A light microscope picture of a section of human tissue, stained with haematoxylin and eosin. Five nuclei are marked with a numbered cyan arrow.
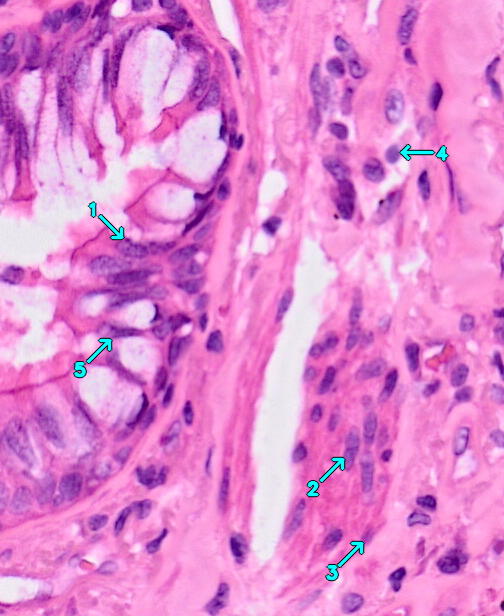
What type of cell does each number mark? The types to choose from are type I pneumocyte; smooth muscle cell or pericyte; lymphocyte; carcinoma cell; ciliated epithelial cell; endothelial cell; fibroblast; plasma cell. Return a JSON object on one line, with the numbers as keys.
{"1": "ciliated epithelial cell", "2": "smooth muscle cell or pericyte", "3": "smooth muscle cell or pericyte", "4": "lymphocyte", "5": "ciliated epithelial cell"}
